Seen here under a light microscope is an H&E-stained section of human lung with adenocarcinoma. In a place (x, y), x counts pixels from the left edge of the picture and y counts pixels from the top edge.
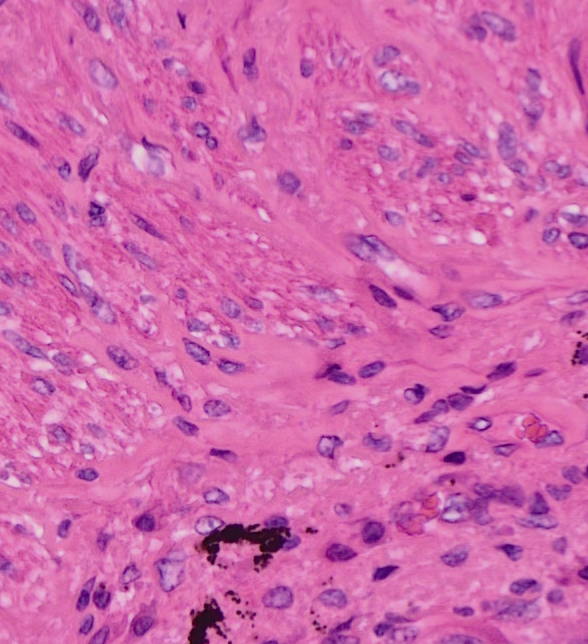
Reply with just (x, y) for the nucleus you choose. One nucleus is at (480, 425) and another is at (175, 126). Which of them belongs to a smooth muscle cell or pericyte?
(175, 126)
